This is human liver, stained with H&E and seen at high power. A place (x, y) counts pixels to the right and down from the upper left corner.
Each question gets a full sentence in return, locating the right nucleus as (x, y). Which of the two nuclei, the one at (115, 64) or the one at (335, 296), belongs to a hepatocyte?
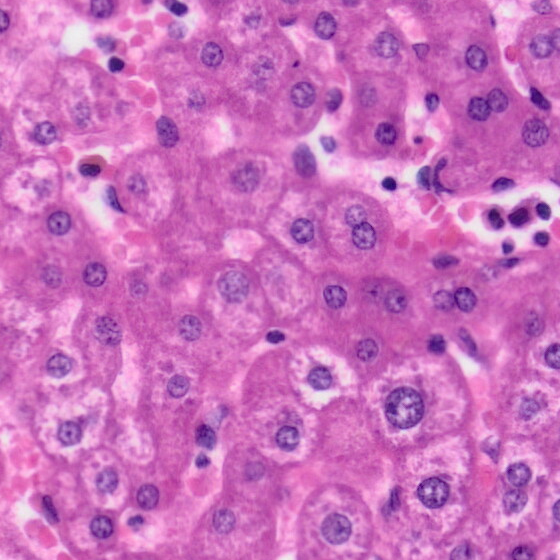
Of the two nuclei, it is the one at (335, 296) that lies within a hepatocyte.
